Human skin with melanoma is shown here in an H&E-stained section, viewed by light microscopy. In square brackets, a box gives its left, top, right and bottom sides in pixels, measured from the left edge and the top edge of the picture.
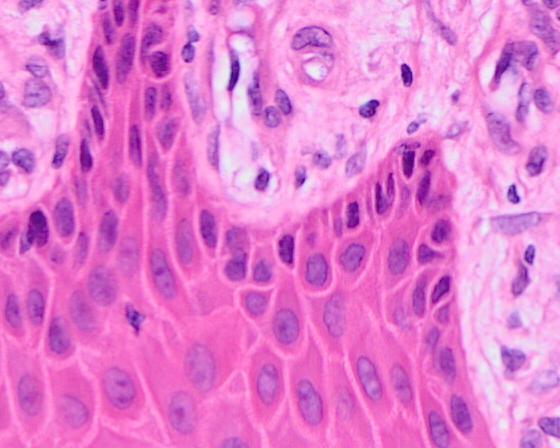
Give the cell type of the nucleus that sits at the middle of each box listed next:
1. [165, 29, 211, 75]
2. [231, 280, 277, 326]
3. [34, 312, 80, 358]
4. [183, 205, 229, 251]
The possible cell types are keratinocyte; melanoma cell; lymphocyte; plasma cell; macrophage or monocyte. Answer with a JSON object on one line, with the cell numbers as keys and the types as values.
{"1": "lymphocyte", "2": "keratinocyte", "3": "keratinocyte", "4": "keratinocyte"}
